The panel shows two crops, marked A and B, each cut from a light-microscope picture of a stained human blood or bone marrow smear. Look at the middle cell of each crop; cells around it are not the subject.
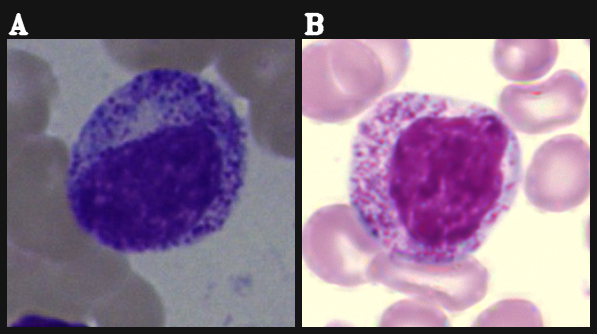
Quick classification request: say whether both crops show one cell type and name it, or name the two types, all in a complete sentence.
Yes, the central cells of both crops are myelocytes.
